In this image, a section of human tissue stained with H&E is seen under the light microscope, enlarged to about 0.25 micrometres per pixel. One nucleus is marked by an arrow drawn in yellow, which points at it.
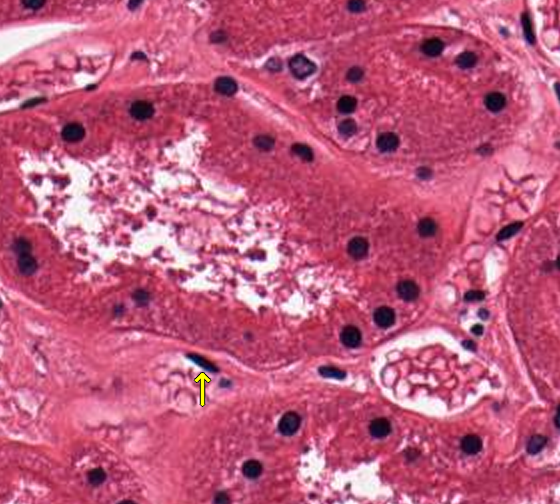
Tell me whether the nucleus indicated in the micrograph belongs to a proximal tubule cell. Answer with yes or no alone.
no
